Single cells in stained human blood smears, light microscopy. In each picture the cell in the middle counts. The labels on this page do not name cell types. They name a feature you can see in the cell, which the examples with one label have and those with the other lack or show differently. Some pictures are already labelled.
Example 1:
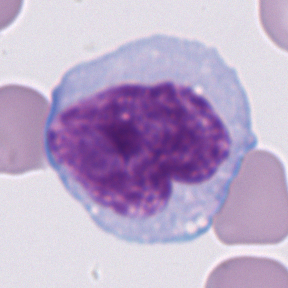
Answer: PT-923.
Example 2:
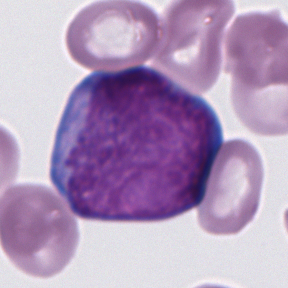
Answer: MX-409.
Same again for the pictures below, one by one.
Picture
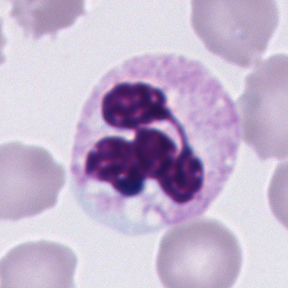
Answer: PT-923.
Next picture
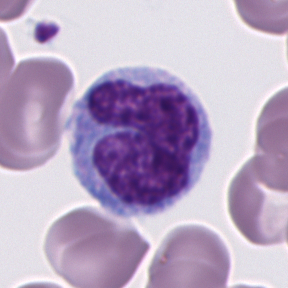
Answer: MX-409.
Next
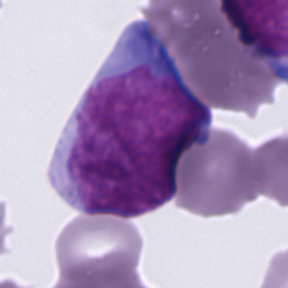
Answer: MX-409.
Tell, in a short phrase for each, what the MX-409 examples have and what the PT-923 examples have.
In MX-409: no vacuoles. In PT-923: vacuoles present.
